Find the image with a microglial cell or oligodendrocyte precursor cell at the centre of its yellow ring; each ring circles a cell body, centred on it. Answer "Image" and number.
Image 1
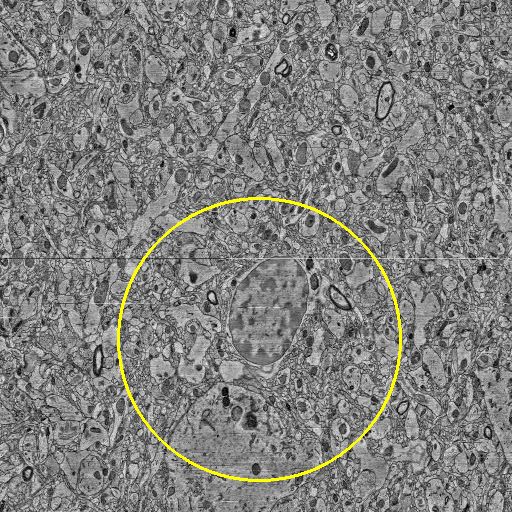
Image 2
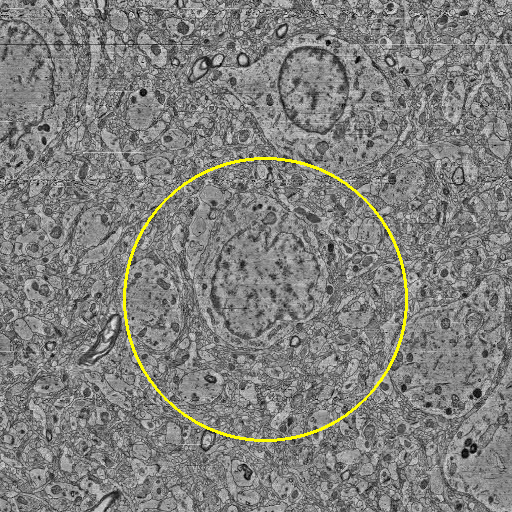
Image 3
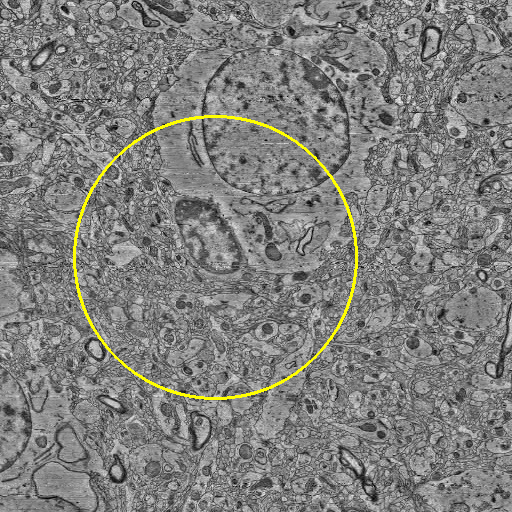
Image 1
